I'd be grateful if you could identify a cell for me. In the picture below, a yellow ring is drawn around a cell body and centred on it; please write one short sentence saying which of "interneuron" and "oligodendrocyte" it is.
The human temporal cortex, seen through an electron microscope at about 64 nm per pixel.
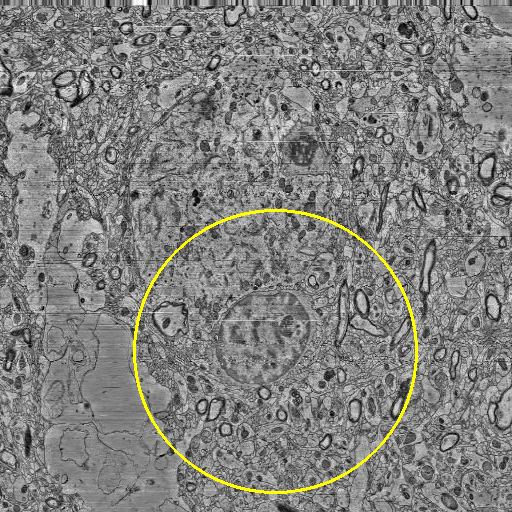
The cell under the ring's centre is an oligodendrocyte.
